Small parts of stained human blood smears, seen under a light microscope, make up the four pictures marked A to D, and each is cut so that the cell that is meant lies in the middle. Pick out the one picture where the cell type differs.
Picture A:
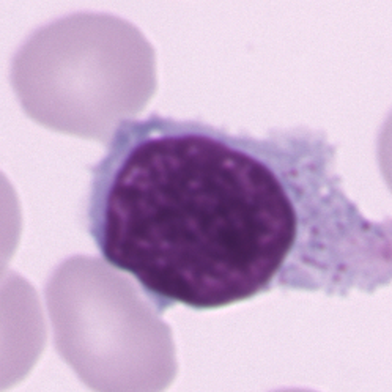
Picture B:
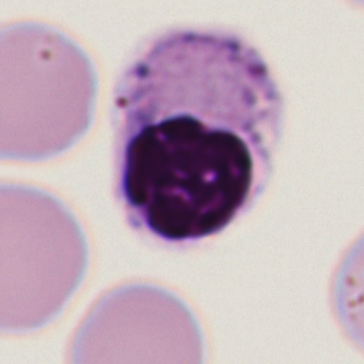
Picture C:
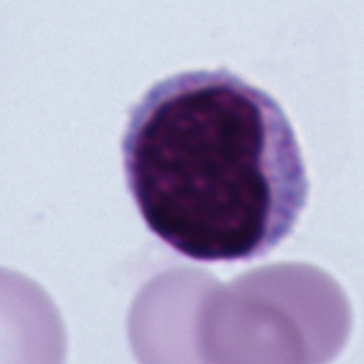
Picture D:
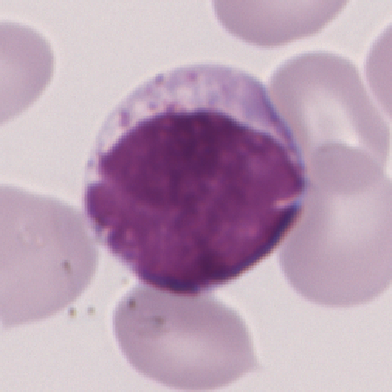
B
